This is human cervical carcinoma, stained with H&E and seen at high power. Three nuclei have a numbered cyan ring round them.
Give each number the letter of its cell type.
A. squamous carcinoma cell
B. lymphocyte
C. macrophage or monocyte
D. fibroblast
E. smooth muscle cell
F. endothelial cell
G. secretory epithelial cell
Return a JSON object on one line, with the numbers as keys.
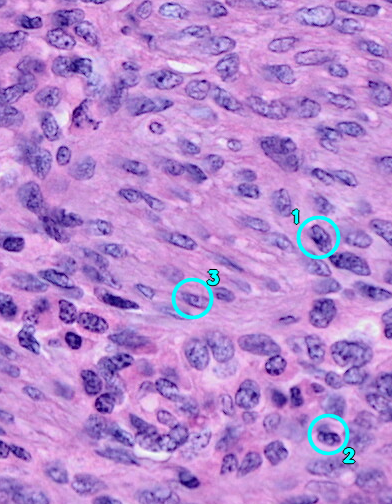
{"1": "B", "2": "B", "3": "E"}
